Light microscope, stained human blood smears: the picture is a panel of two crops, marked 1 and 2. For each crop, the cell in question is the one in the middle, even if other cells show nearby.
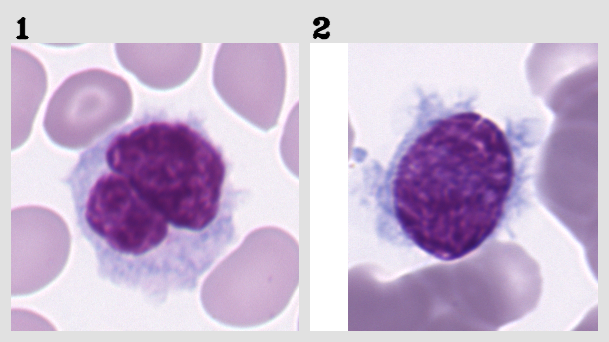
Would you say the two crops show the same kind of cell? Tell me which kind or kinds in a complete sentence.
Yes, the cells in the centres of the two crops are hairy cells.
